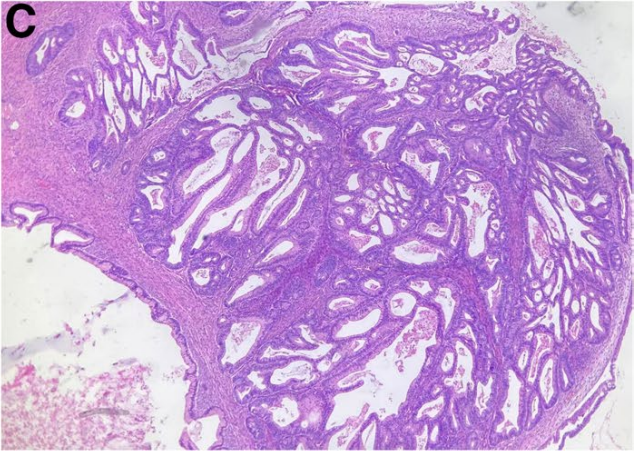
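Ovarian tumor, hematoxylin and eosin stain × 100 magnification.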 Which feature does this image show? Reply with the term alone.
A: Cystic glandular structures.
